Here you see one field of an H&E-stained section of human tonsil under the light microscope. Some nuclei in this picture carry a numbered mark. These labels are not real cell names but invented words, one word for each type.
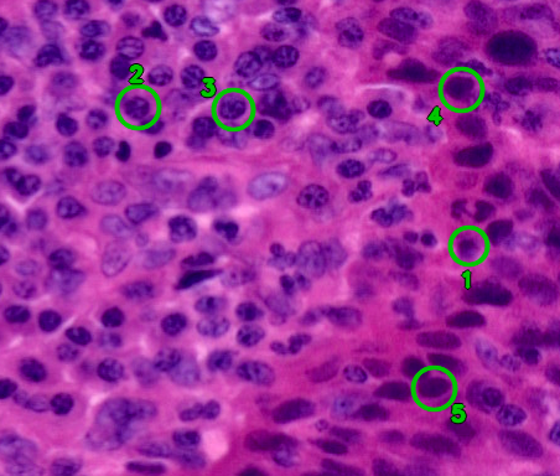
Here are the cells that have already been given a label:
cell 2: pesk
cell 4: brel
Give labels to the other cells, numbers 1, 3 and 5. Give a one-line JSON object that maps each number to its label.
{"1": "brel", "3": "pesk", "5": "brel"}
